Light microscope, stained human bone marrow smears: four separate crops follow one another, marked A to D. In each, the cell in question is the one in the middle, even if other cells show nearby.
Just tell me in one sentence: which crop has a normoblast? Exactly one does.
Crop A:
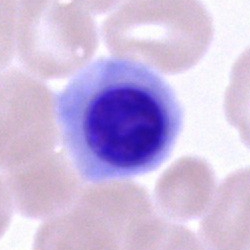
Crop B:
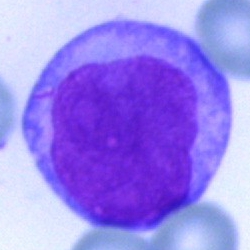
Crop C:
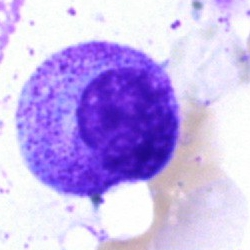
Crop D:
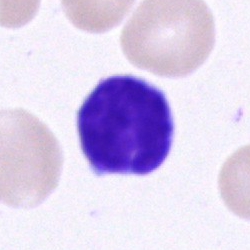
The cell at the center of crop A is the one that is a normoblast.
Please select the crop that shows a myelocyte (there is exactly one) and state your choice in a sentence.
As for which crop shows a myelocyte, it is crop C.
